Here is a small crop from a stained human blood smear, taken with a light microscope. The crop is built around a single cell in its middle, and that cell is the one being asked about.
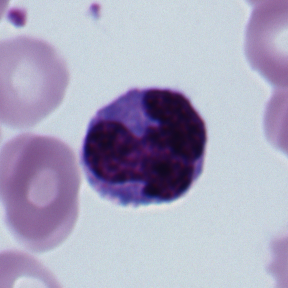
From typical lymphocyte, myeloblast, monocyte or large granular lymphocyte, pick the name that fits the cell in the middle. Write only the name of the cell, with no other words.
monocyte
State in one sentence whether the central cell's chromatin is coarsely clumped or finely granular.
The chromatin of this one is coarsely clumped.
